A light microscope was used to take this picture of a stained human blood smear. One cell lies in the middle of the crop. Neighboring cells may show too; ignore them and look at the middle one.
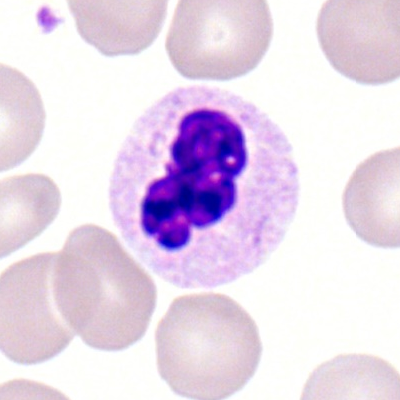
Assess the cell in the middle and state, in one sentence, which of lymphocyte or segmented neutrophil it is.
The middle position in this crop is taken by a segmented neutrophil.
